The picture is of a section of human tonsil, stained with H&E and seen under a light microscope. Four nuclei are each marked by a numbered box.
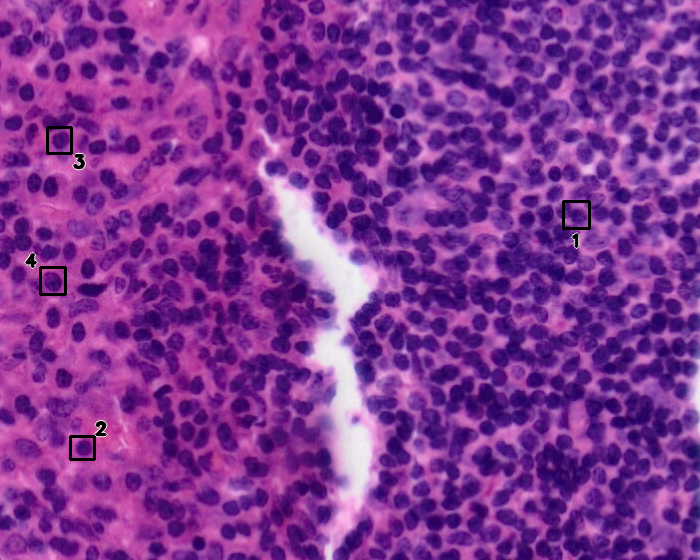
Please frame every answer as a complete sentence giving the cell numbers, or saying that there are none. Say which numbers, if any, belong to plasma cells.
On this slide, the cells numbered 2, 3 and 4 are plasma cells.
